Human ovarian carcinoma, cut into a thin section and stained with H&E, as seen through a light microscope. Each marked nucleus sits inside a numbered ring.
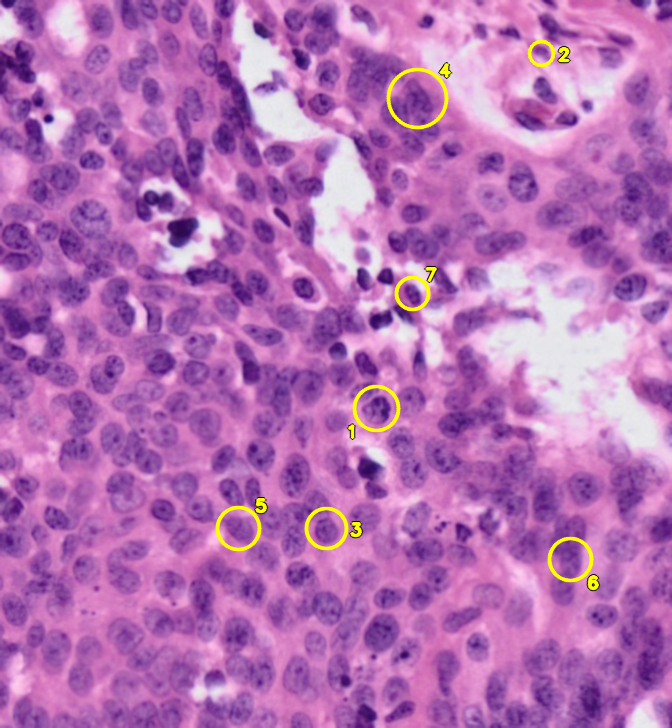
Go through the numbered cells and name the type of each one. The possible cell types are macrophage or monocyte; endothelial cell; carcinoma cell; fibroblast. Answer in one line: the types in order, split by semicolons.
macrophage or monocyte; fibroblast; carcinoma cell; carcinoma cell; carcinoma cell; carcinoma cell; macrophage or monocyte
